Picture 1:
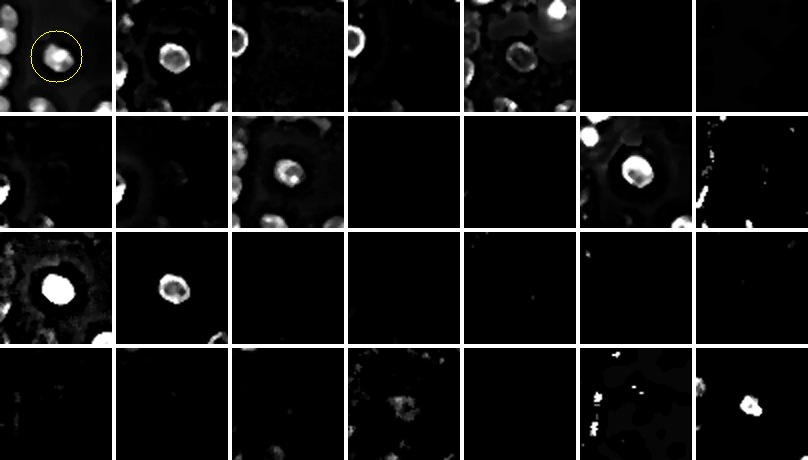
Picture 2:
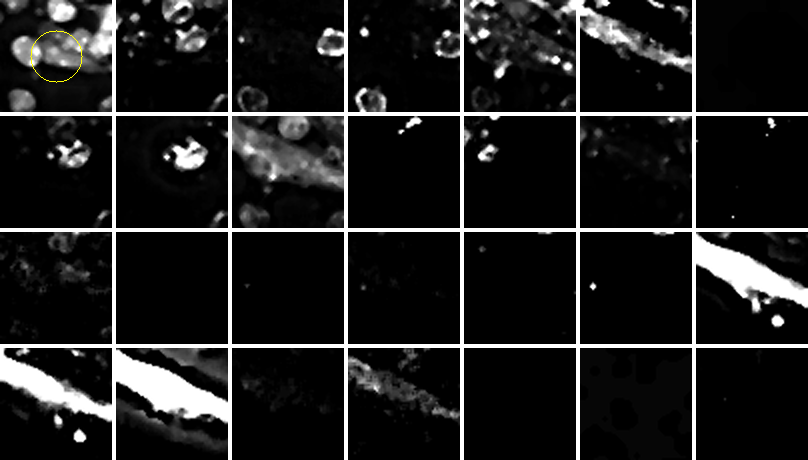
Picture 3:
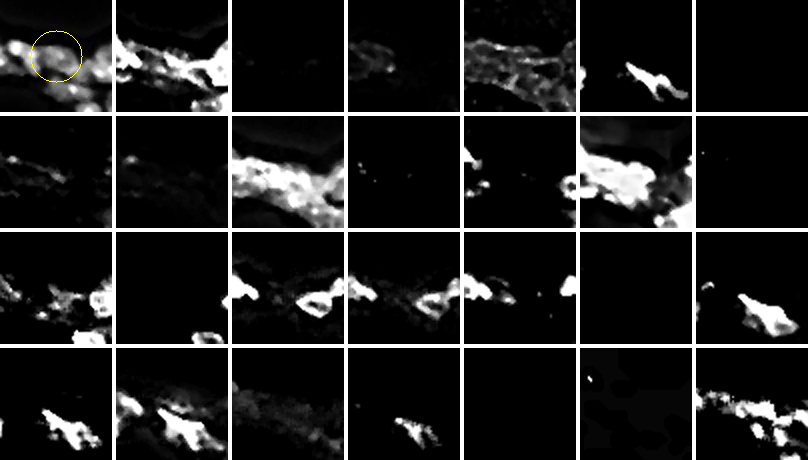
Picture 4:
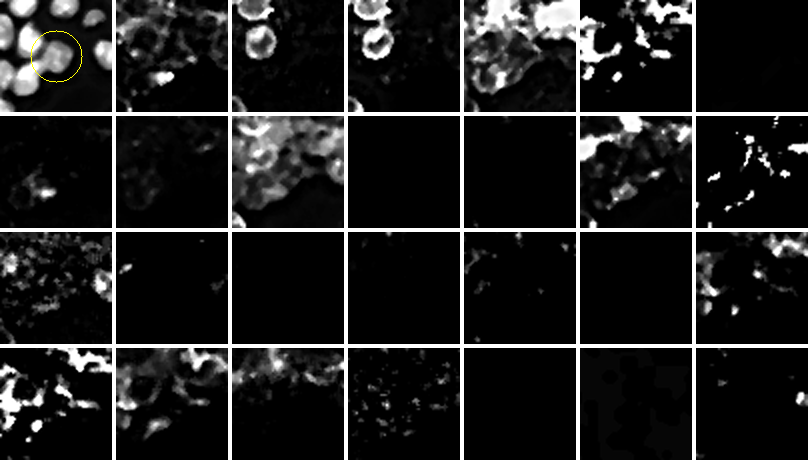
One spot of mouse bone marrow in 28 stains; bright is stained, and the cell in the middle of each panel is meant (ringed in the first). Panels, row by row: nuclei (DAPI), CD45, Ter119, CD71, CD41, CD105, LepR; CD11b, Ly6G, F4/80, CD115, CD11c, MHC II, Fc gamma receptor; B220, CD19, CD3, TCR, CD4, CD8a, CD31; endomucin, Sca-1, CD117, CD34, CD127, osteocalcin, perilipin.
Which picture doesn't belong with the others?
Picture 1.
